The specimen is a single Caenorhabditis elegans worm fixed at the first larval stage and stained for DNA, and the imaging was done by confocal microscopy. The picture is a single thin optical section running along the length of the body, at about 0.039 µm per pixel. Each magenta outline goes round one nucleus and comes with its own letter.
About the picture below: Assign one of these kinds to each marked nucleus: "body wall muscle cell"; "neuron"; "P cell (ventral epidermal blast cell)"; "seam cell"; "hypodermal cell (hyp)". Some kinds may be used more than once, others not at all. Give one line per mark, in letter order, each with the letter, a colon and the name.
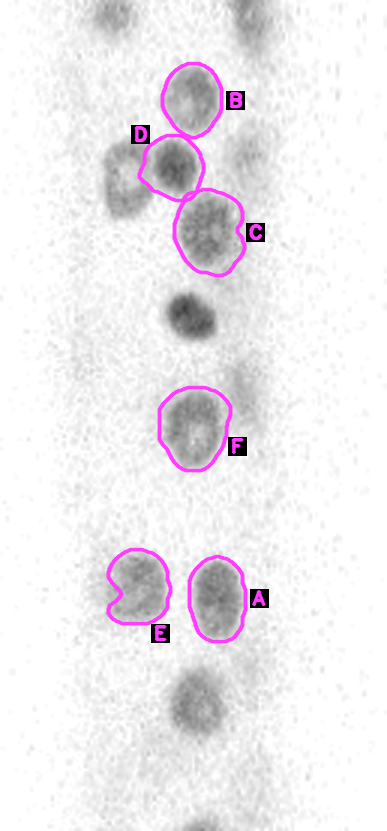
A: P cell (ventral epidermal blast cell)
B: seam cell
C: P cell (ventral epidermal blast cell)
D: neuron
E: hypodermal cell (hyp)
F: seam cell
